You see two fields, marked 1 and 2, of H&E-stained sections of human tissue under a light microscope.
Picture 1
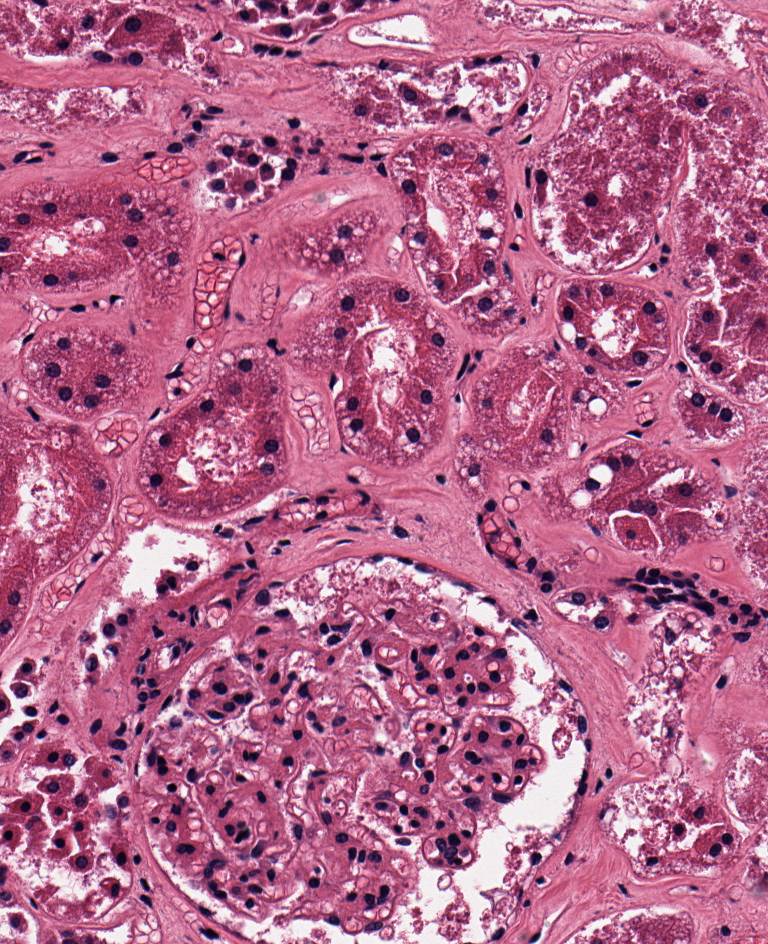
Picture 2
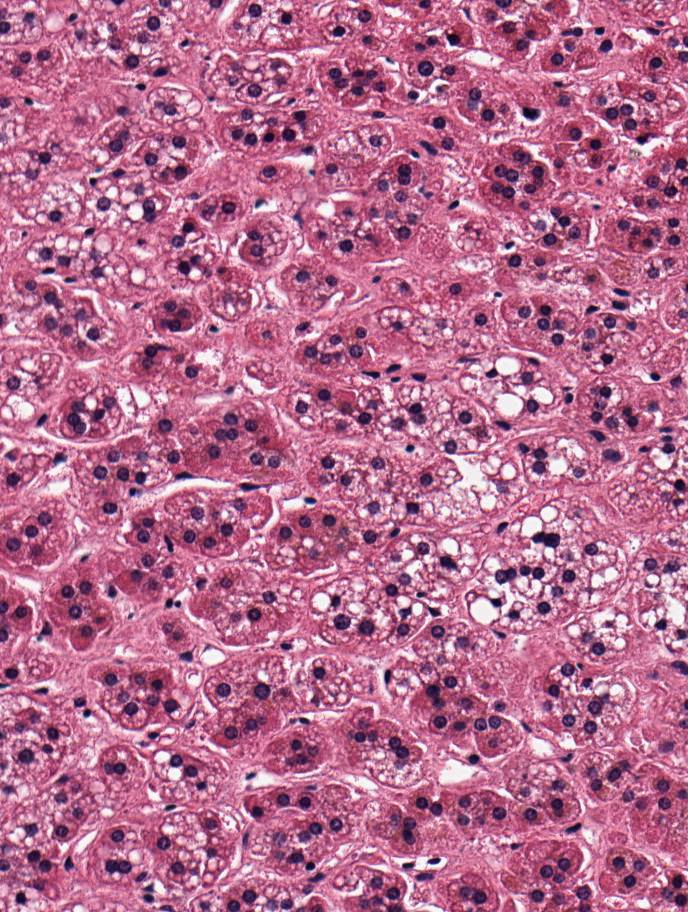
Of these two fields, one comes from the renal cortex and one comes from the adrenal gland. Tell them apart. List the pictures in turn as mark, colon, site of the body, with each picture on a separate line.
1: renal cortex
2: adrenal gland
